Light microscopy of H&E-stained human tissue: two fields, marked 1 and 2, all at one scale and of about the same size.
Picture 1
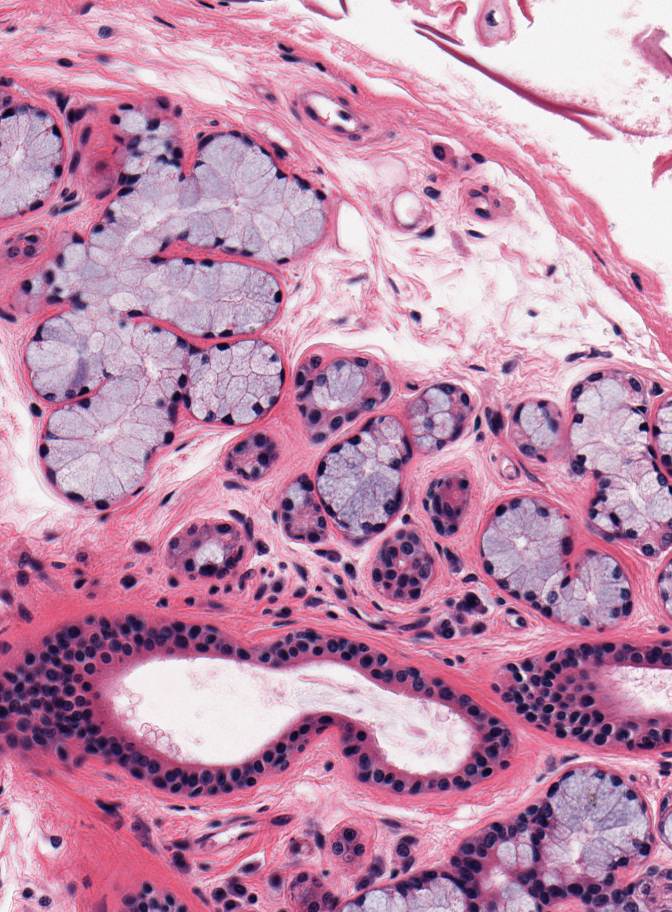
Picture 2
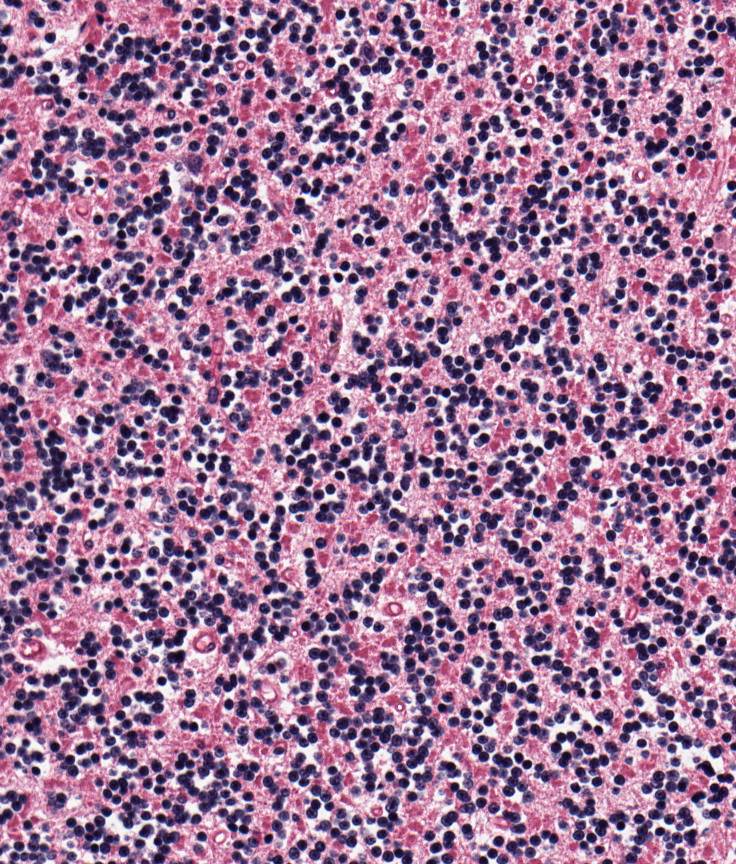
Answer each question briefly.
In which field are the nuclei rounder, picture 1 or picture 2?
2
